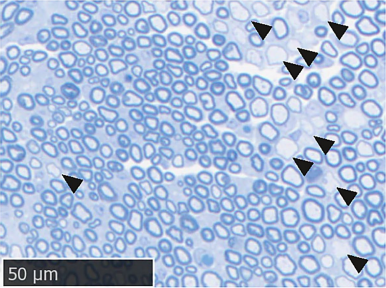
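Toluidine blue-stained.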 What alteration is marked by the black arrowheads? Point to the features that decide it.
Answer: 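The arrowheads point at pale round profiles. These profiles lack the dark blue ring that surrounds neighbouring fibres.
Conclusion: Demyelinated axons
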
